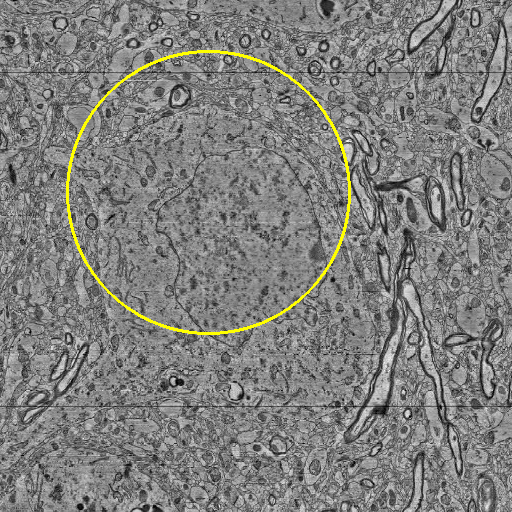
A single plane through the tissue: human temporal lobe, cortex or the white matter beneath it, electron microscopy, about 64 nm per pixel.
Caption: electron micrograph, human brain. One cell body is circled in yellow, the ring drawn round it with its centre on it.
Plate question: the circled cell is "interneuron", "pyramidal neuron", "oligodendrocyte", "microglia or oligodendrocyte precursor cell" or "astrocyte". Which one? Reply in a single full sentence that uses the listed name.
The yellow ring on the plate is centred on a pyramidal neuron, going by the listed names.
